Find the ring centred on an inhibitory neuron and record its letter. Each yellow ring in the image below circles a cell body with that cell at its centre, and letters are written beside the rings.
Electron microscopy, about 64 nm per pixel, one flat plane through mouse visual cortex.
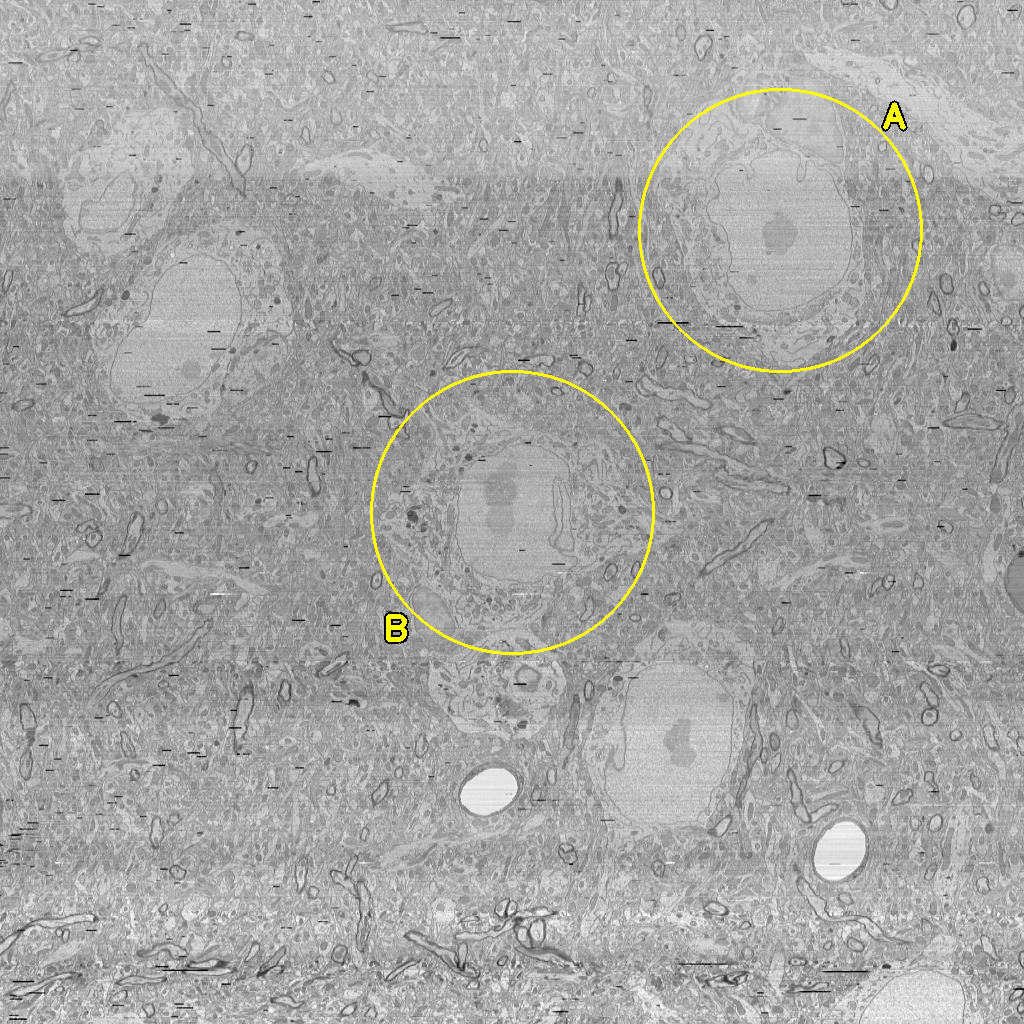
B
